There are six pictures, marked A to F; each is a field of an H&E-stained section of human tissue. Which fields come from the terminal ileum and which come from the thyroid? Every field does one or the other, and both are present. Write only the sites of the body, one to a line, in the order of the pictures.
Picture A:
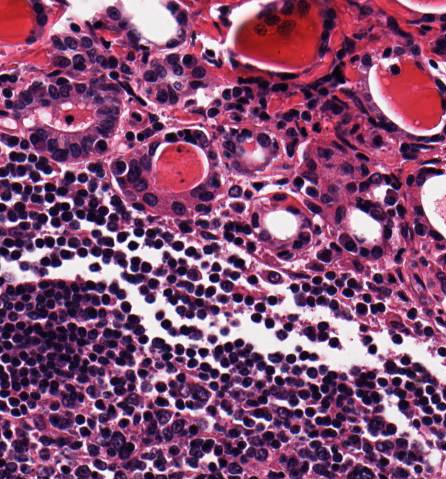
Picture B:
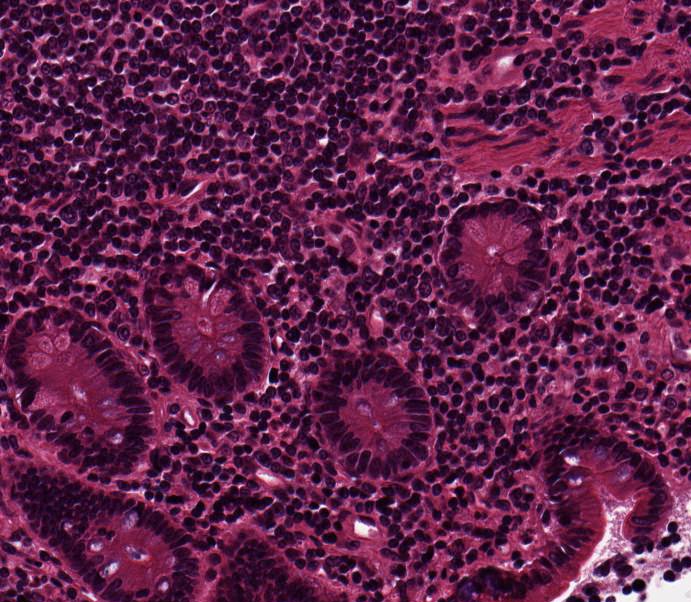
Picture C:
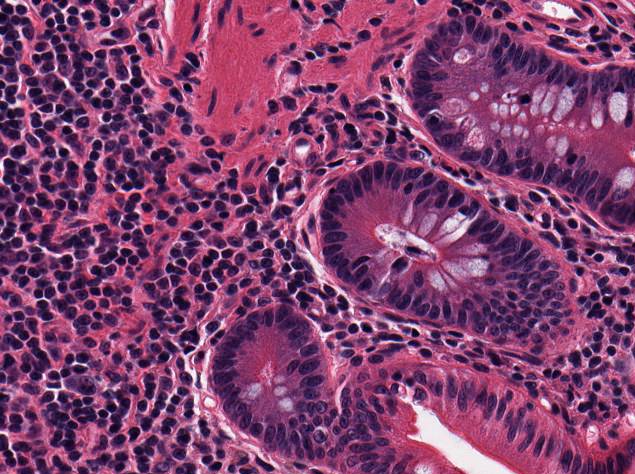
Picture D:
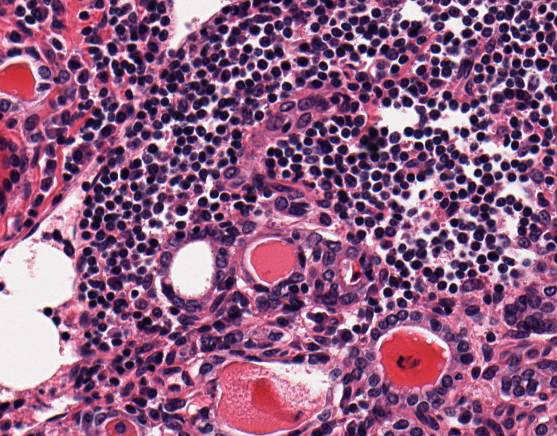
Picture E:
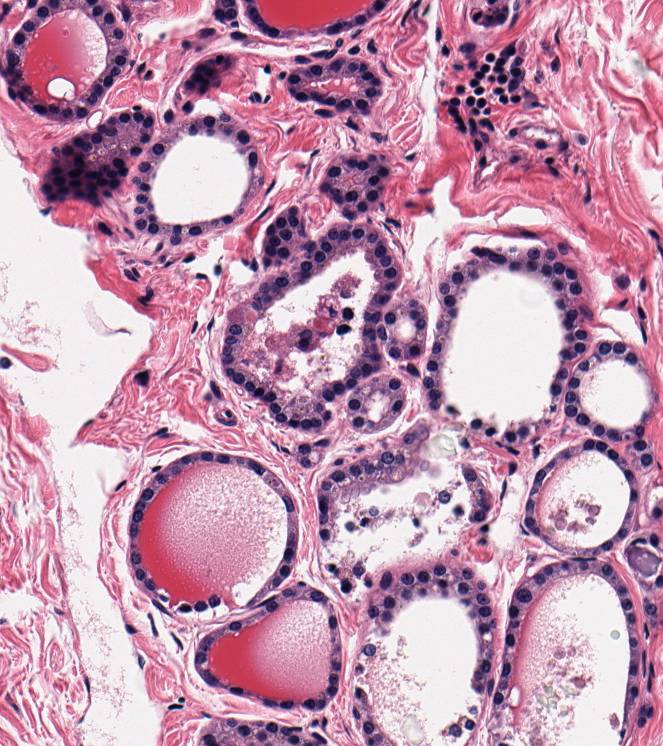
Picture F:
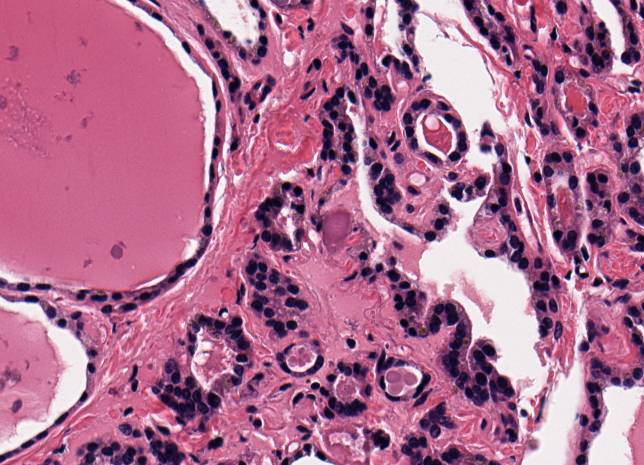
thyroid
terminal ileum
terminal ileum
thyroid
thyroid
thyroid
